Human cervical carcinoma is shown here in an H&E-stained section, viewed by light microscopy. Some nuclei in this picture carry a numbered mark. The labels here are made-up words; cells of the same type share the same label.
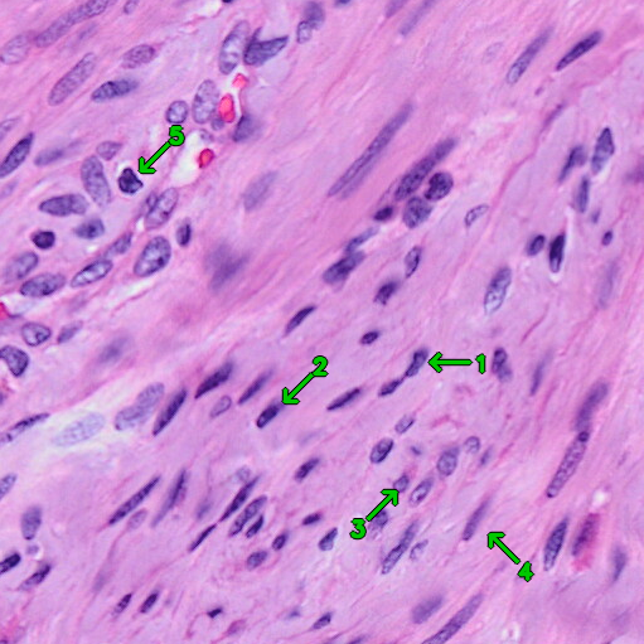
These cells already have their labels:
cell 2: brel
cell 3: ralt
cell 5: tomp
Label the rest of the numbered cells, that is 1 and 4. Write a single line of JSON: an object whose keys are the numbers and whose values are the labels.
{"1": "brel", "4": "ralt"}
